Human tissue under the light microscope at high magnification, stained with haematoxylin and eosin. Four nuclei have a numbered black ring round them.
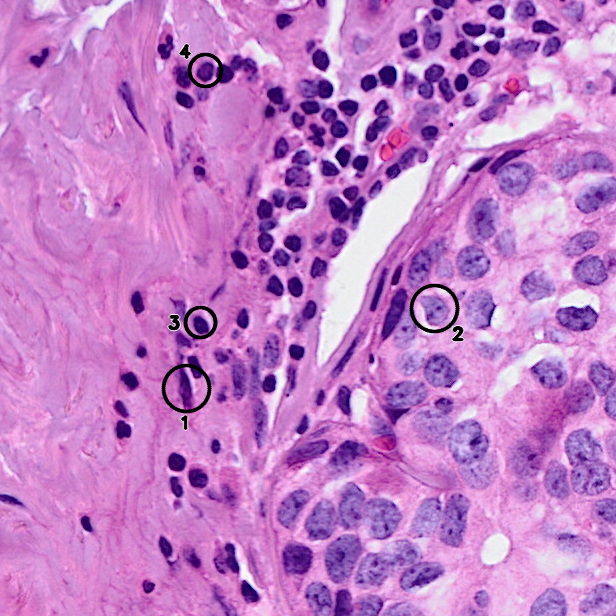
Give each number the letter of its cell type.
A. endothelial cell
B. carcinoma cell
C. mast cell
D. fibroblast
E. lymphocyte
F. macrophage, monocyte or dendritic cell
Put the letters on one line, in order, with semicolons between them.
D; B; E; E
